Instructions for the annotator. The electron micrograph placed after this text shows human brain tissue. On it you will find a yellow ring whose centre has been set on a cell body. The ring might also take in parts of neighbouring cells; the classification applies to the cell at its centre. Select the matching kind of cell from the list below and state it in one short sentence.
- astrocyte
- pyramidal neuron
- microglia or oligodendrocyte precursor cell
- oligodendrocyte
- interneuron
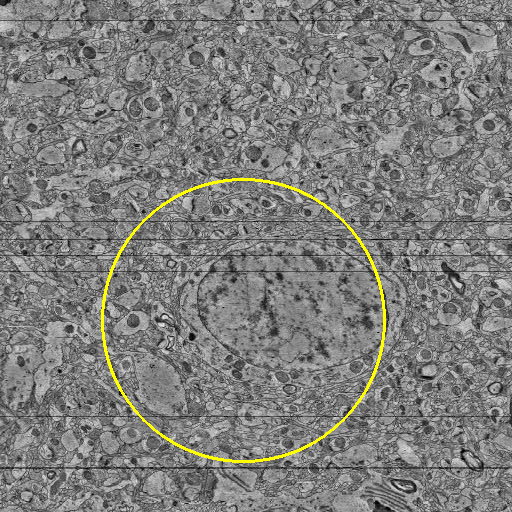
The ring is drawn on the cell body of a pyramidal neuron.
